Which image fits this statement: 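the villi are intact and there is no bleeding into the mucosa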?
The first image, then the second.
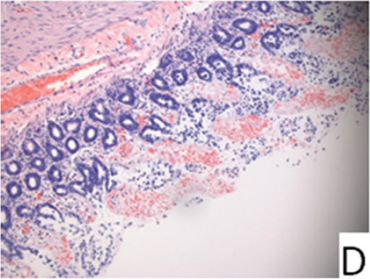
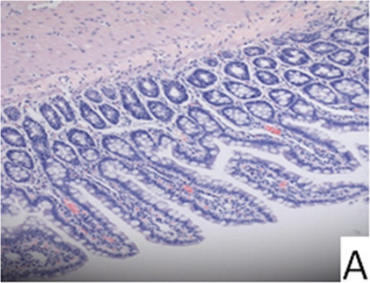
The second image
